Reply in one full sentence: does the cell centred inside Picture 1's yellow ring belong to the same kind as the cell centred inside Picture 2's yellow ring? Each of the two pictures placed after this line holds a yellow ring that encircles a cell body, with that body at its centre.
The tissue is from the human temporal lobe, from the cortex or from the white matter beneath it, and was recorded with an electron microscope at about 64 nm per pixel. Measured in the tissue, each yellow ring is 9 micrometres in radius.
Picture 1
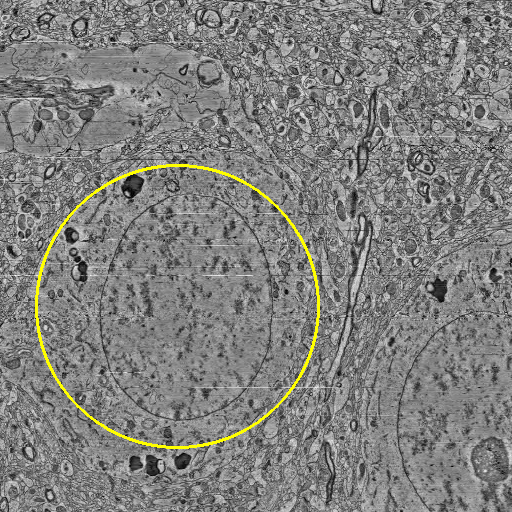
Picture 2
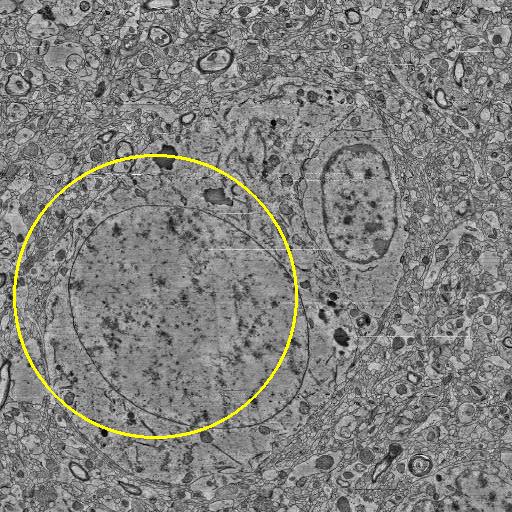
Yes, the ring-centred cells in Picture 1 and Picture 2 are of one and the same kind.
